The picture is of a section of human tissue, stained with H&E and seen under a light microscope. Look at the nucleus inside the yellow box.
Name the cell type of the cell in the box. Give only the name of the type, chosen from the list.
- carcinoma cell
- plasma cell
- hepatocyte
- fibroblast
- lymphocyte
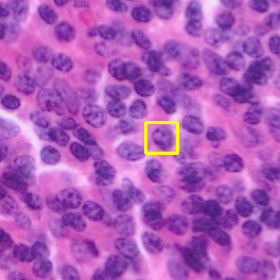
plasma cell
